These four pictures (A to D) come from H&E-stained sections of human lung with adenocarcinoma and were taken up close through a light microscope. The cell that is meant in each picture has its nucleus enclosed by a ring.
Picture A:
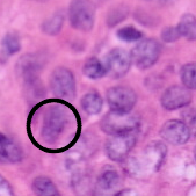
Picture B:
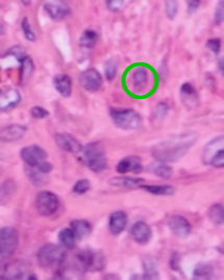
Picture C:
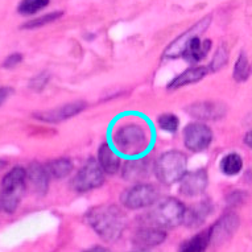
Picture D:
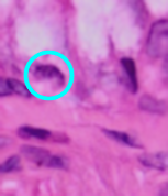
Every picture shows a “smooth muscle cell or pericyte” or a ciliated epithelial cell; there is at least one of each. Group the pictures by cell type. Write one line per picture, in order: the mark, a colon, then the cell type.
A: ciliated epithelial cell
B: smooth muscle cell or pericyte
C: ciliated epithelial cell
D: ciliated epithelial cell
